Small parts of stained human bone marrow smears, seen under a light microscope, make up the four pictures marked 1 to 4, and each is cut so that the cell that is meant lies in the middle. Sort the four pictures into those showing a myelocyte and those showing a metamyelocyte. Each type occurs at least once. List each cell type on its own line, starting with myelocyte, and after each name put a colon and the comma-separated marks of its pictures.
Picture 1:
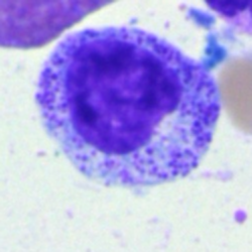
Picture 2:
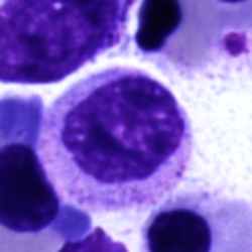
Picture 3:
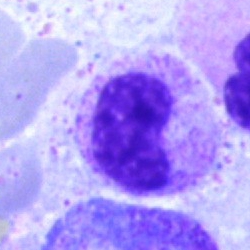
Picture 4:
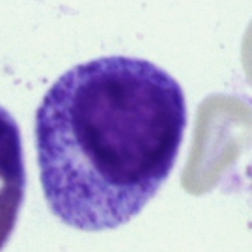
myelocyte: 1, 2, 4
metamyelocyte: 3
